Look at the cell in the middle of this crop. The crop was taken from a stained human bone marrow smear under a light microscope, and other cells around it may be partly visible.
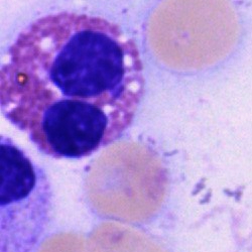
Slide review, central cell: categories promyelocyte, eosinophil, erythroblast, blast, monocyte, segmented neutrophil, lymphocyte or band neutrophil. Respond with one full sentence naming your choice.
The cell the crop is centered on is an eosinophil.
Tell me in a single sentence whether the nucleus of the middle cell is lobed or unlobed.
The nuclear outline breaks up into two or more lobes.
